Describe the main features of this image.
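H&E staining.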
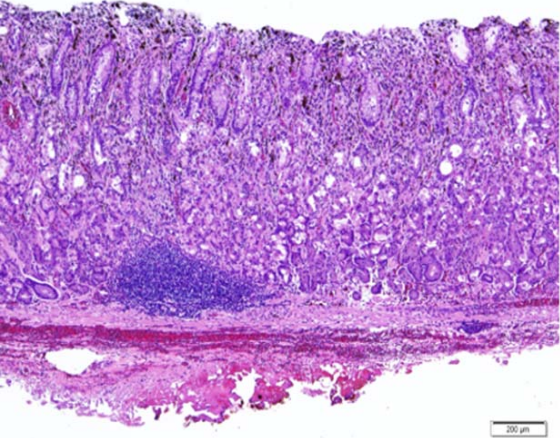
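Crowded glands and cells fill the mucosa, with scattered dark brown to black pigment concentrated along the luminal surface. Toward the base of the mucosa lies a dense, rounded aggregate of small dark blue lymphocytes. Beneath it a thin band of muscle and pink fibrous submucosa with congested vessels and hemorrhage forms the lower edge of the section.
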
